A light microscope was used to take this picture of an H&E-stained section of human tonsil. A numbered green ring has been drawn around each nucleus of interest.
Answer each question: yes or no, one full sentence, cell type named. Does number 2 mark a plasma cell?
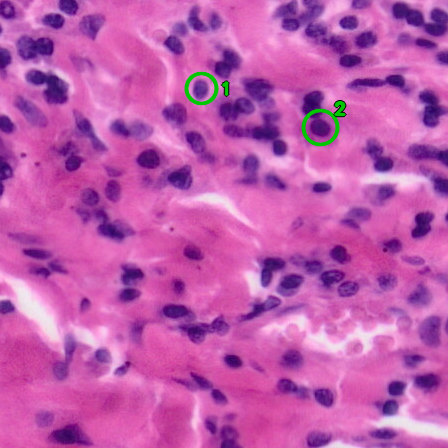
Yes, the cell identified as number 2 is a plasma cell.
